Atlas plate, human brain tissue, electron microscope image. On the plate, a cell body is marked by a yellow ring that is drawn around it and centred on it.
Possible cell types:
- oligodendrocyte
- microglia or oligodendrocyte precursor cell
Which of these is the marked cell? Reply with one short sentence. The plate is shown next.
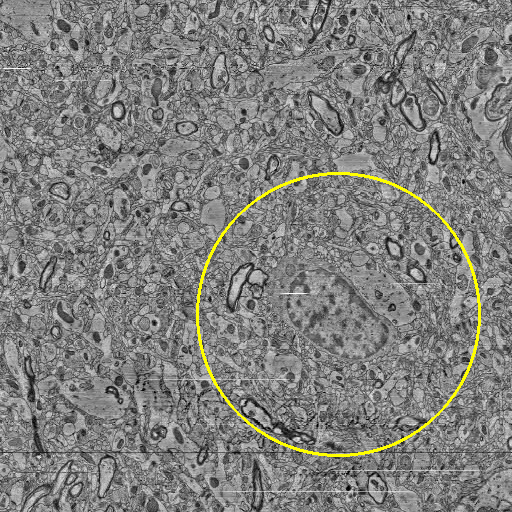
The marked cell is an oligodendrocyte.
